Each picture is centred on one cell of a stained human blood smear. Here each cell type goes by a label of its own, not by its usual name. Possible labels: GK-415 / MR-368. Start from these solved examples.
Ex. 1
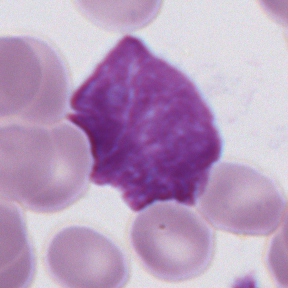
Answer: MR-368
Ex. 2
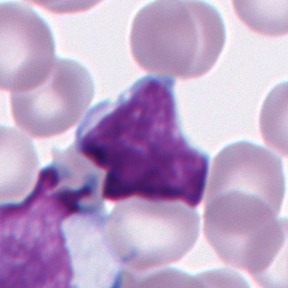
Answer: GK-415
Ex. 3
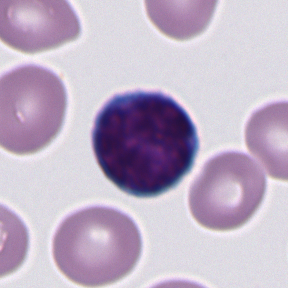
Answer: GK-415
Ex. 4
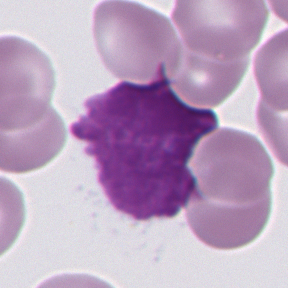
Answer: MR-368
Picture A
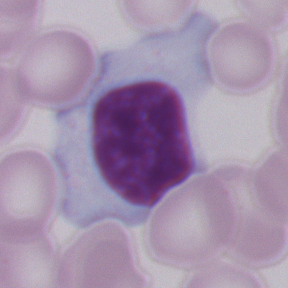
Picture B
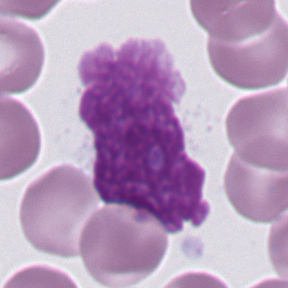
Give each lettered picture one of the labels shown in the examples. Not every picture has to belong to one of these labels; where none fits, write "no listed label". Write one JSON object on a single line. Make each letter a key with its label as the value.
{"A": "GK-415", "B": "MR-368"}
